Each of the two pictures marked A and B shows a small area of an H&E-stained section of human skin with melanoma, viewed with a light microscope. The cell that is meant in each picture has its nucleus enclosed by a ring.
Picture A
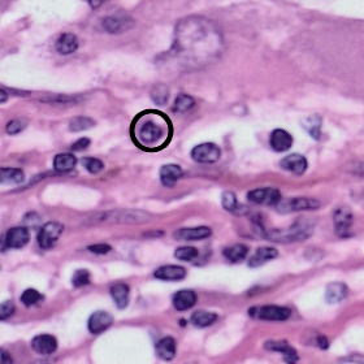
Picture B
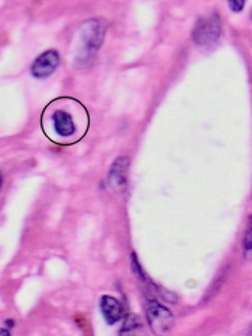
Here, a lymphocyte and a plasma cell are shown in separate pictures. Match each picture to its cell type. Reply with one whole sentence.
Picture A shows a plasma cell and picture B shows a lymphocyte.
